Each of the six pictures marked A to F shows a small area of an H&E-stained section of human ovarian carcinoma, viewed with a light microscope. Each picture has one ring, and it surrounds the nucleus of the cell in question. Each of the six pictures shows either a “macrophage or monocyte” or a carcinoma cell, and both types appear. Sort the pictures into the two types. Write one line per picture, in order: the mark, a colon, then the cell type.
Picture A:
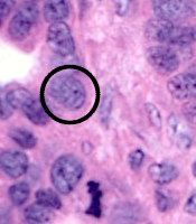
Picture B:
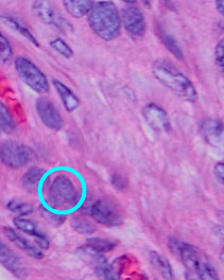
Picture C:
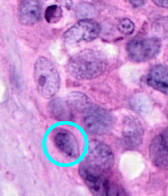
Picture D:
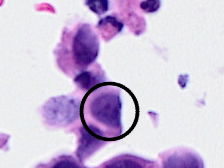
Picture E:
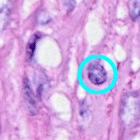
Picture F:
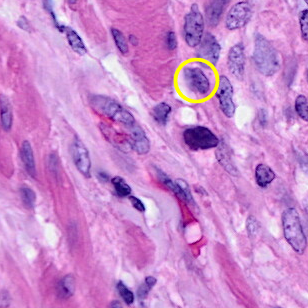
A: carcinoma cell
B: carcinoma cell
C: macrophage or monocyte
D: carcinoma cell
E: macrophage or monocyte
F: macrophage or monocyte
